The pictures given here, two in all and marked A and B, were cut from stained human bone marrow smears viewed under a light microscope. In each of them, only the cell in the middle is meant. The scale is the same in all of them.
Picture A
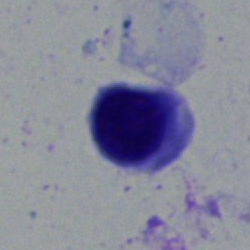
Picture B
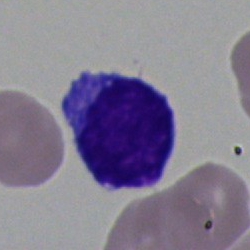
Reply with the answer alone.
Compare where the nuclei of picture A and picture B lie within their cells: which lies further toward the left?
A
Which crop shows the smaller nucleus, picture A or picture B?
A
